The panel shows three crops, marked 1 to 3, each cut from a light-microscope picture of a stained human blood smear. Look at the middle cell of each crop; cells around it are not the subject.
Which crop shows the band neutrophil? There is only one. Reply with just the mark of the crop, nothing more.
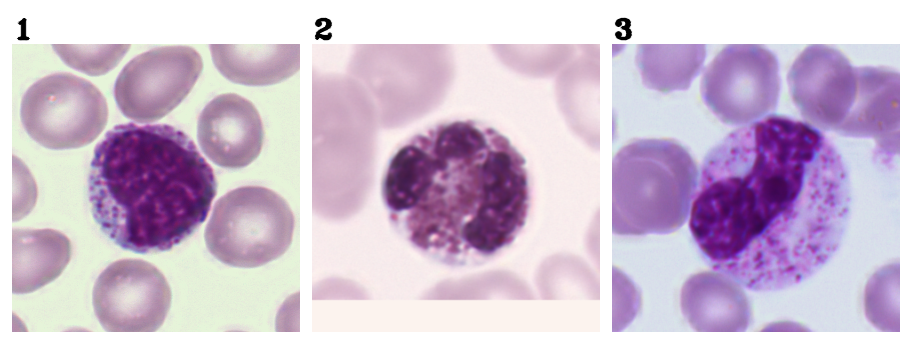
3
